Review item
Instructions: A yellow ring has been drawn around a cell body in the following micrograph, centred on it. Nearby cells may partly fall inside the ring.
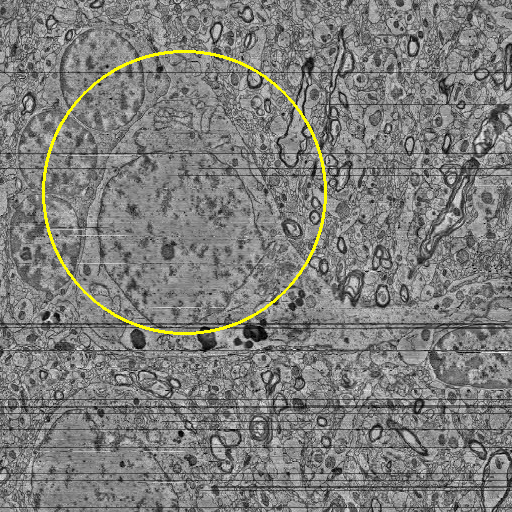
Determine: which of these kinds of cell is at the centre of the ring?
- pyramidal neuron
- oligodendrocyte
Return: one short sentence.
The cell body in the middle of the ring is that of a pyramidal neuron.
